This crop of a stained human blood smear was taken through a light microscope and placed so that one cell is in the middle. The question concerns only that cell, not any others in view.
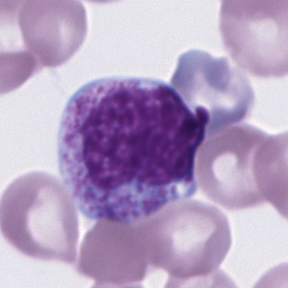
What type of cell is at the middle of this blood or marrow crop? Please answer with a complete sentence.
By classification, the middle cell of this crop is a myelocyte.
